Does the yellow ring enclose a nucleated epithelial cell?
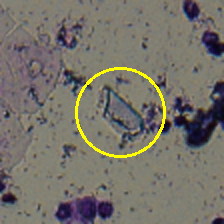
No. The ring encloses a cornified epithelial cell.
